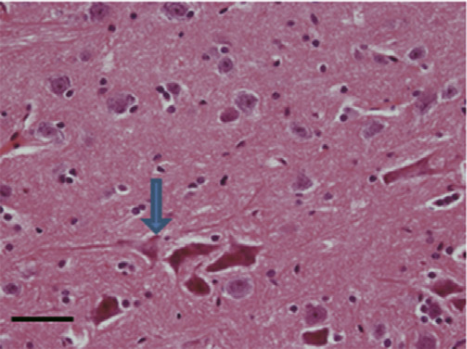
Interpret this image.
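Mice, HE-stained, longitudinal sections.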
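This is spinal cord grey matter in which large neurons stand out, with round pale nuclei and purple-pink cytoplasm. They lie in an even, finely fibrillar pink background, among many smaller, darker nuclei of the surrounding glial cells.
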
